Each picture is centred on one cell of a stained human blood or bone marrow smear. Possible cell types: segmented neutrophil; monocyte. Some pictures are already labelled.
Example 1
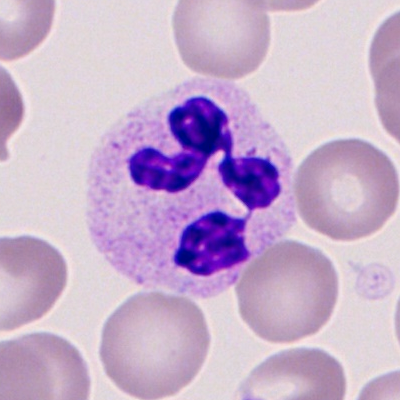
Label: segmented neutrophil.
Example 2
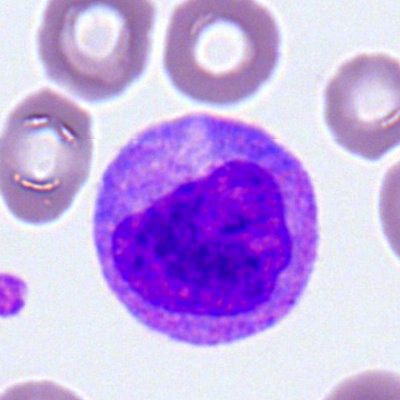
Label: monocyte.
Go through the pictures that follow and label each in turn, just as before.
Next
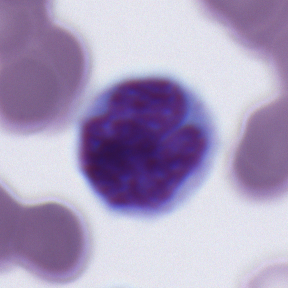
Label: monocyte.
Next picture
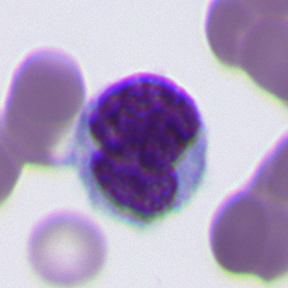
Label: monocyte.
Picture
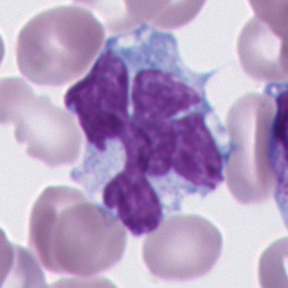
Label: monocyte.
